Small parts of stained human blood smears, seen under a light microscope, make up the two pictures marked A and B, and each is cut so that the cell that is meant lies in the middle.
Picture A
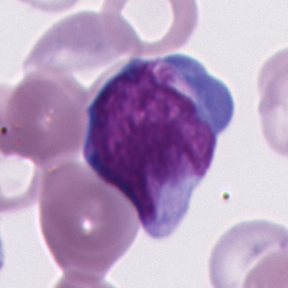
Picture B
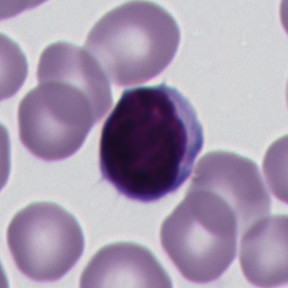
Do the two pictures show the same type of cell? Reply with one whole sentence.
No, picture A shows a myeloblast and picture B shows a typical lymphocyte.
